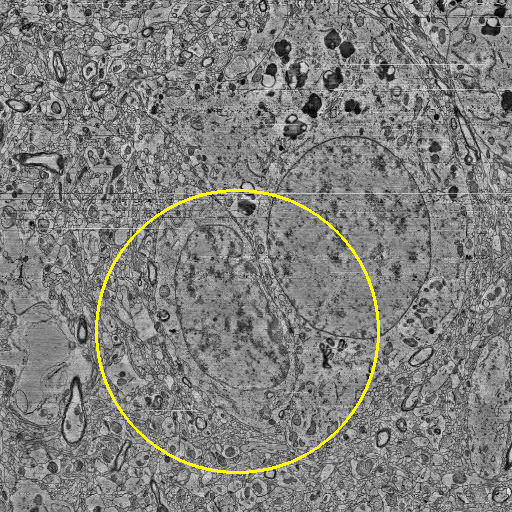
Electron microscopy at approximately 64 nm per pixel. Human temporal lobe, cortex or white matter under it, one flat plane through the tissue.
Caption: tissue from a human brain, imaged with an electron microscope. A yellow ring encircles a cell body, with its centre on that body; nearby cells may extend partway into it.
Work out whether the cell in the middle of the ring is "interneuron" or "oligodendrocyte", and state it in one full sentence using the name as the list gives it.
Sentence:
In the picture, the cell that the yellow ring surrounds at its centre is an interneuron.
